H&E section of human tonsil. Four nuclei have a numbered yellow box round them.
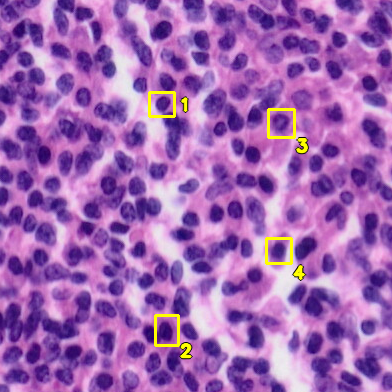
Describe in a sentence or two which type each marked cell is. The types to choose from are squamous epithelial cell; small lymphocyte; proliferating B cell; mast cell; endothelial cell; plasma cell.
Cell 1 is a small lymphocyte. Cells 2, 3 and 4 are plasma cells.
